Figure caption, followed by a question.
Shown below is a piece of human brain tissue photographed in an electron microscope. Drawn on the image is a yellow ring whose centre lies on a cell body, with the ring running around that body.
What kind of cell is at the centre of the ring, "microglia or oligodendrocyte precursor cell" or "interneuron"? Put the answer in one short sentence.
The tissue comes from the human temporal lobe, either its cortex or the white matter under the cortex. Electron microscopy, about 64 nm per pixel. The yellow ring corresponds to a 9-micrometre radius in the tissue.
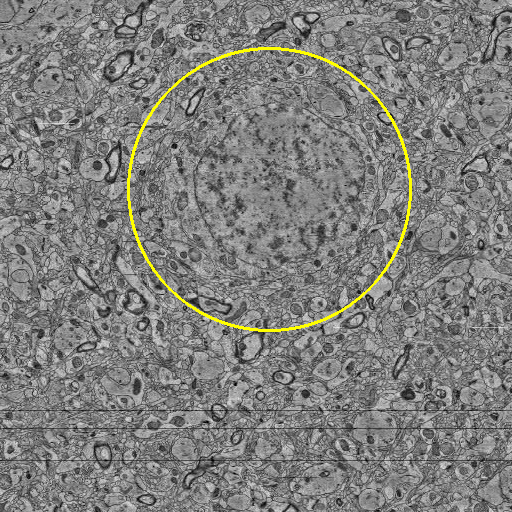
The ring marks the cell body of an interneuron.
